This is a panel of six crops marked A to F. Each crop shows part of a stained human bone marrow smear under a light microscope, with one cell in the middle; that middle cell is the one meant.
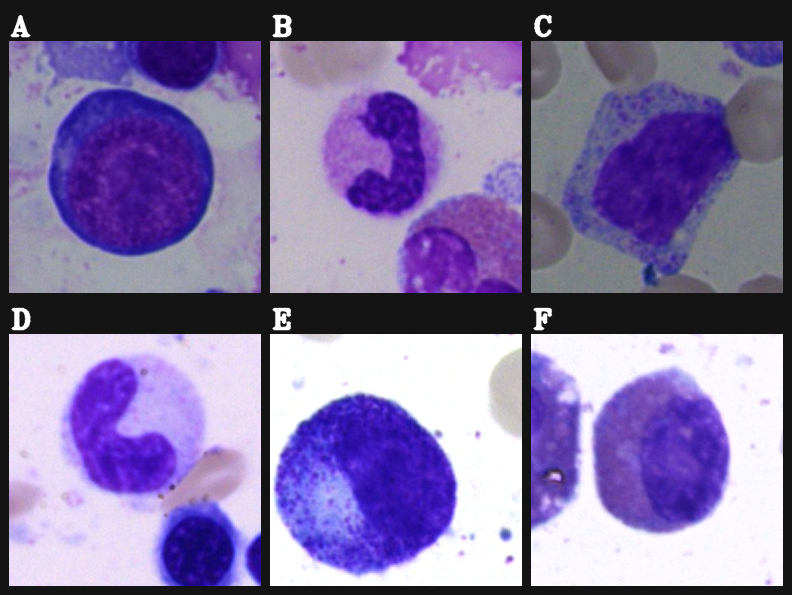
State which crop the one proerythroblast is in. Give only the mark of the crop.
A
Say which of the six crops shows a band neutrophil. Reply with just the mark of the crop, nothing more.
D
